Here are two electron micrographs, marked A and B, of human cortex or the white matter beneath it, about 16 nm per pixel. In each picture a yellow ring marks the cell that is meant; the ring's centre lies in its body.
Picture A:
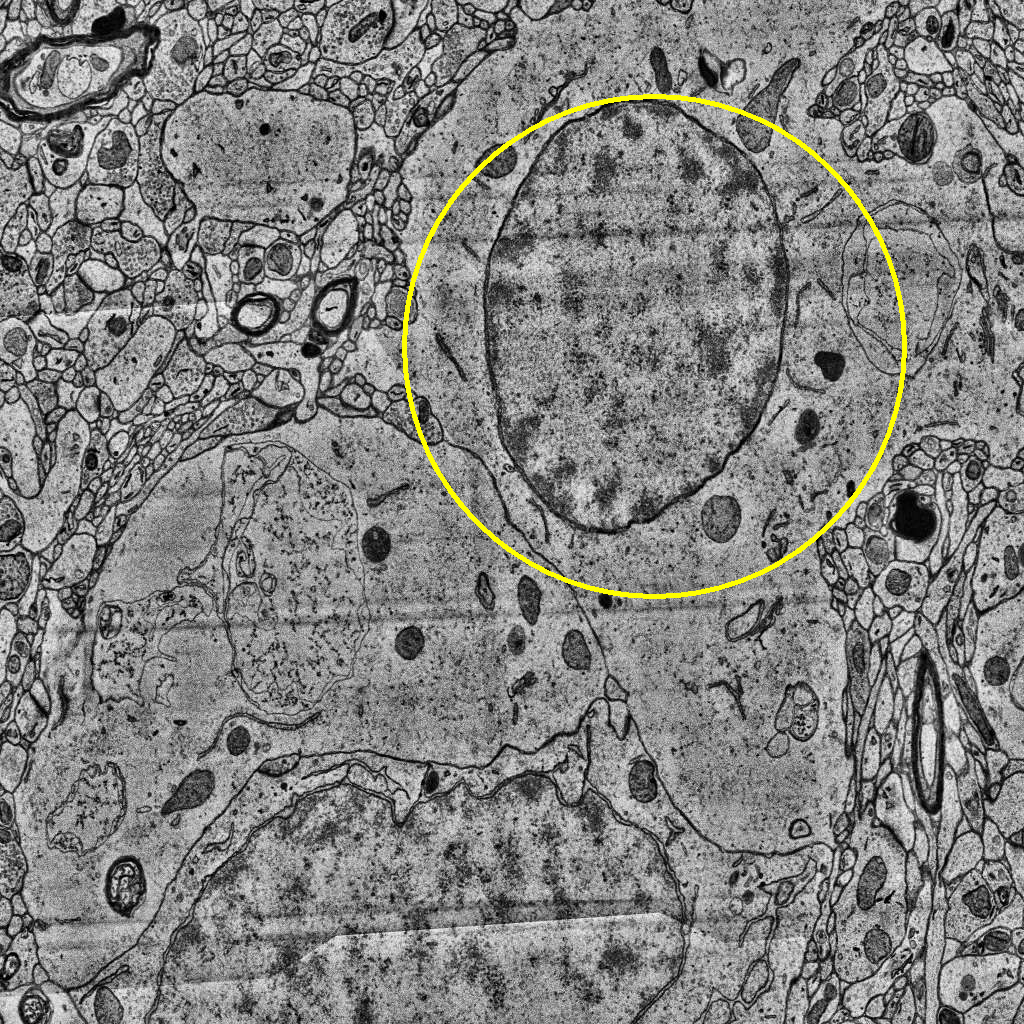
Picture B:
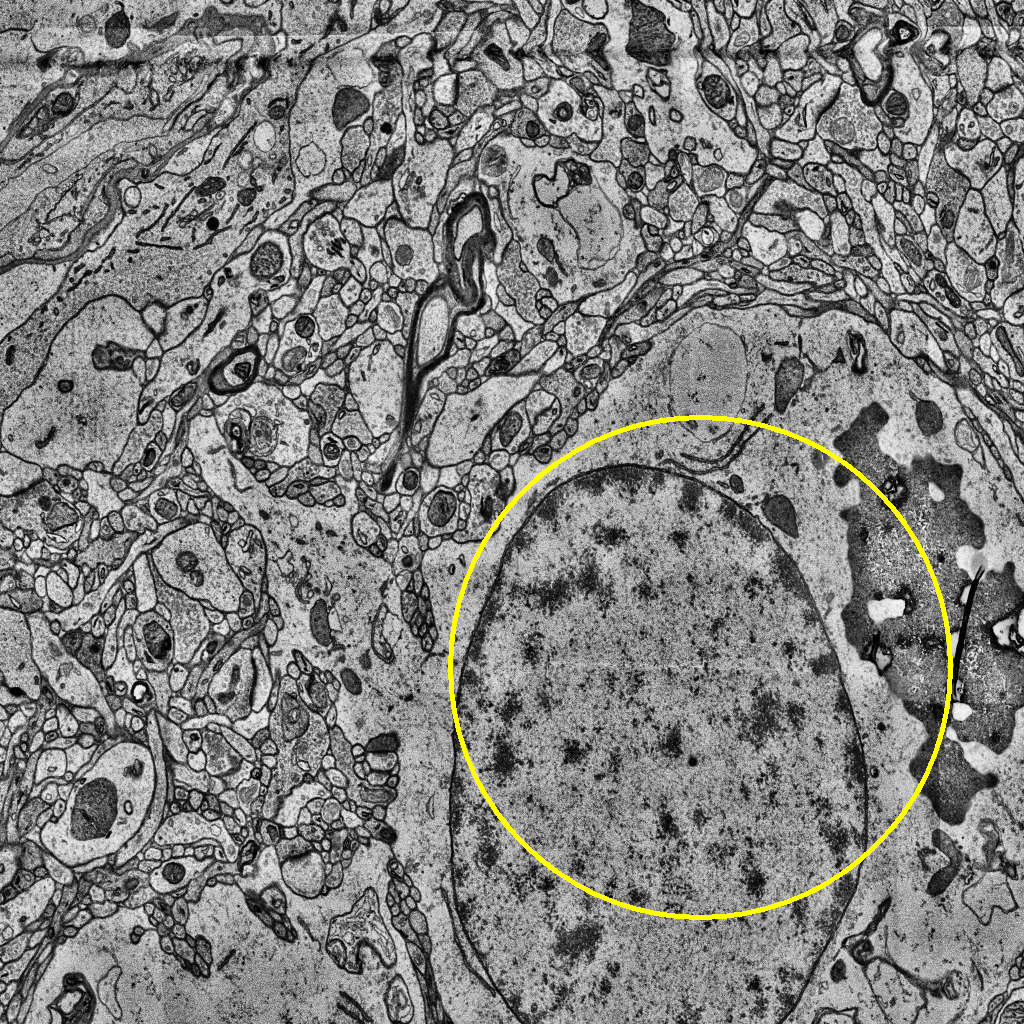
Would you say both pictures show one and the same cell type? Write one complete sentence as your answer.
Yes, the two pictures both show astrocytes.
